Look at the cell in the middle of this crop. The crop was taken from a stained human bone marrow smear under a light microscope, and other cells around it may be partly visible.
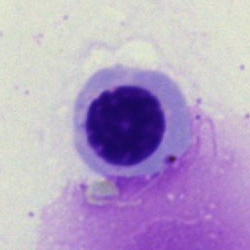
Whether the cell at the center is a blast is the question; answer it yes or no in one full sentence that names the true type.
No, rather than a blast, the central cell is an erythroblast.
